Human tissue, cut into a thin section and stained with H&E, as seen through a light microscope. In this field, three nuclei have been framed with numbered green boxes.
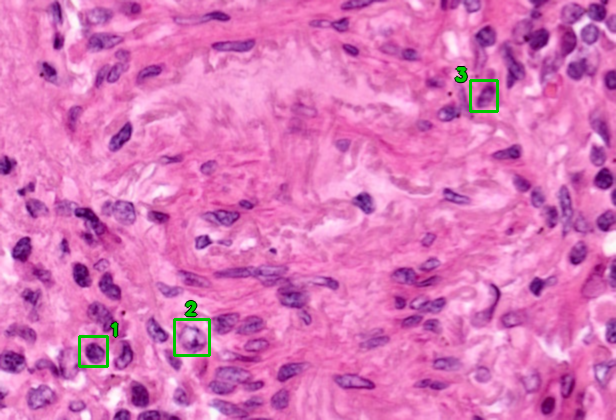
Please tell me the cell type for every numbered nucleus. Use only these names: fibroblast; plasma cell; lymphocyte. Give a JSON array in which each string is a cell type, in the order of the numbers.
["lymphocyte", "fibroblast", "plasma cell"]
